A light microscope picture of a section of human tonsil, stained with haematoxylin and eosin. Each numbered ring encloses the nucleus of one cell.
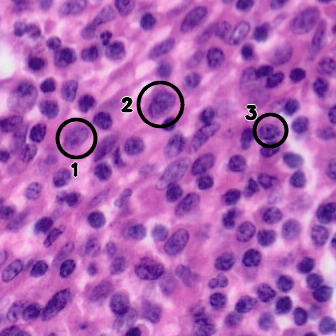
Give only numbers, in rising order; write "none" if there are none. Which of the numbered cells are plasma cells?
3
